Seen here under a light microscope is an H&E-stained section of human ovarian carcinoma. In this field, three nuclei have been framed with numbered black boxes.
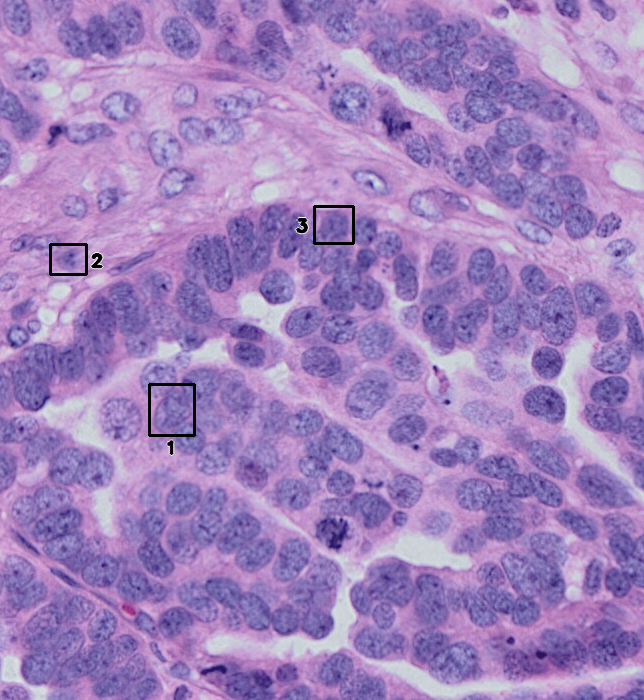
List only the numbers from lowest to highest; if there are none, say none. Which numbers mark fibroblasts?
2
